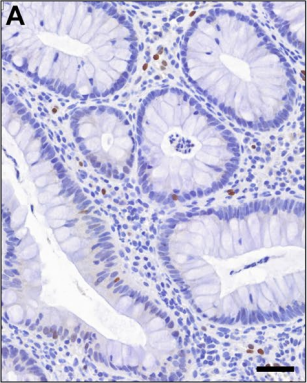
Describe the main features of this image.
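Colonic mucosa with several crypts cut across and obliquely, each a ring of epithelium around a small lumen. The crypt epithelium is filled with pale, unstained mucin-laden goblet cells, with dark blue nuclei pressed to the base. One lumen contains a little debris. Between the crypts the lamina propria is densely cellular, crowded with small round and oval blue nuclei, among which a scattering of nuclei stain brown.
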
